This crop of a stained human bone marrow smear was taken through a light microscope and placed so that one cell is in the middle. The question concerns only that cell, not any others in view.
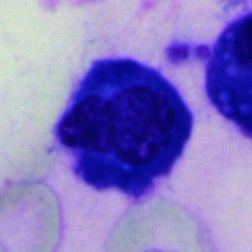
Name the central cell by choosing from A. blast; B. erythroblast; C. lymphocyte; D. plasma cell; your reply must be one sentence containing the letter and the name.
The correct option is D, as the central cell is a plasma cell.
